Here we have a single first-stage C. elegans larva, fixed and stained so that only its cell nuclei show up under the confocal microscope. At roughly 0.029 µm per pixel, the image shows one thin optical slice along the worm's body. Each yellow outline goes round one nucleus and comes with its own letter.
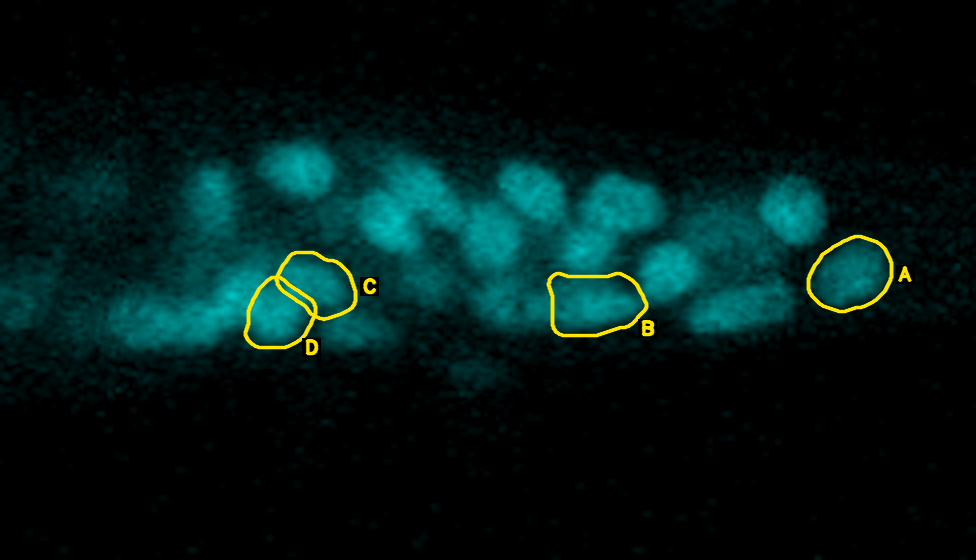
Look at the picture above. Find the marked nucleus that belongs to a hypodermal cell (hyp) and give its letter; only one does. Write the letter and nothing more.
A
